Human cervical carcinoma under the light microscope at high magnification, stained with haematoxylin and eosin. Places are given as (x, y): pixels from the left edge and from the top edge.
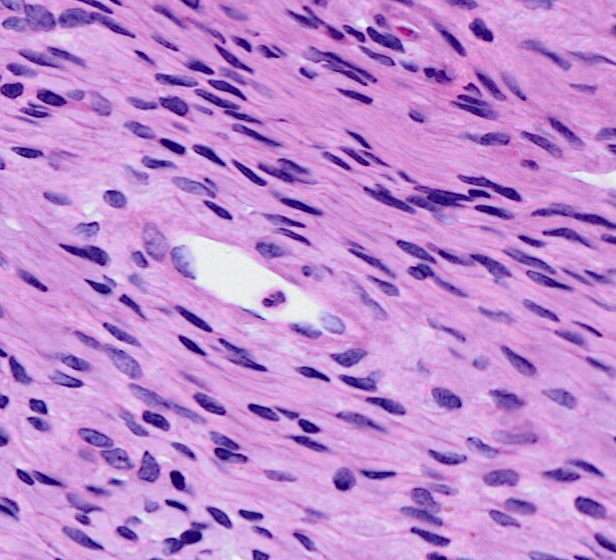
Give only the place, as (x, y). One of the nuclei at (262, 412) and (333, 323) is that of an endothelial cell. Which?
(333, 323)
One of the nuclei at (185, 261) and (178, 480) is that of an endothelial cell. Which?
(185, 261)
